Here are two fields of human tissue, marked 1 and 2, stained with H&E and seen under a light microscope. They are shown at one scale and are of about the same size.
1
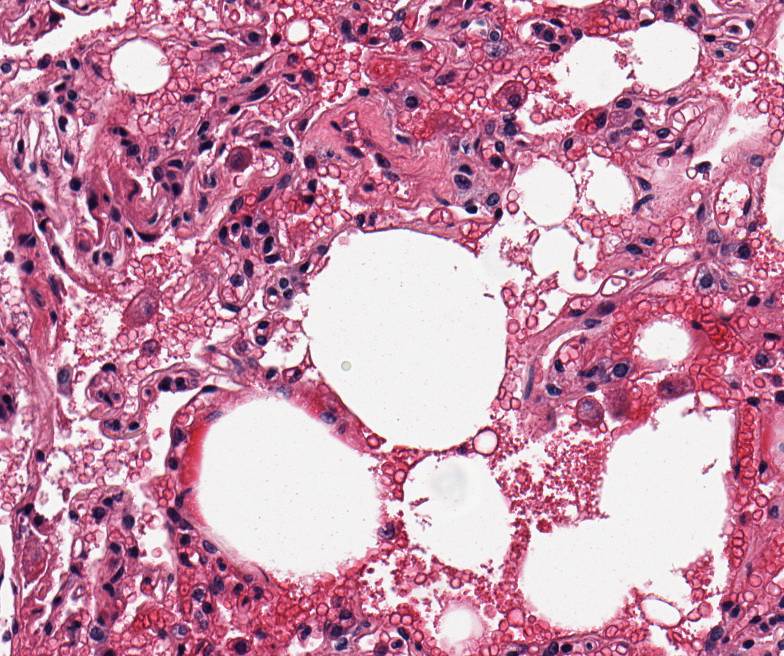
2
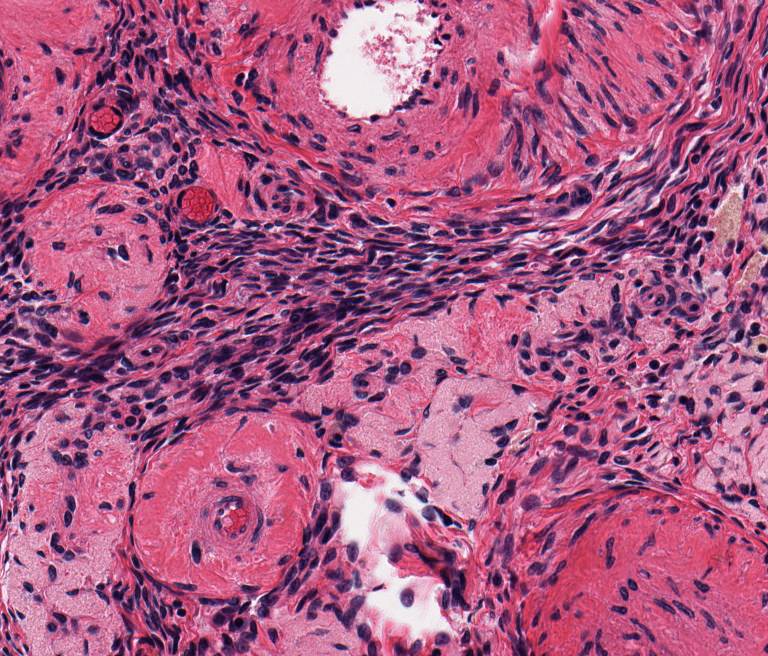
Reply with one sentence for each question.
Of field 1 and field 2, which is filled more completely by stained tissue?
Less of field 2 is empty and white.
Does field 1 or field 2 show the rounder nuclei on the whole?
Rounder nuclei lie in field 1.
